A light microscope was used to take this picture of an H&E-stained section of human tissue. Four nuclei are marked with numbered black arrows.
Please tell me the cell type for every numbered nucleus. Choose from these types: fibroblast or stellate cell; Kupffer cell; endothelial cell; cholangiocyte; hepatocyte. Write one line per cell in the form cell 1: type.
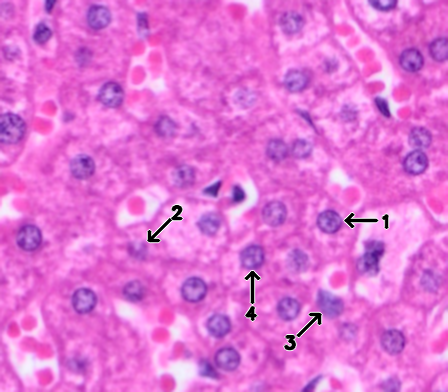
cell 1: hepatocyte
cell 2: hepatocyte
cell 3: endothelial cell
cell 4: hepatocyte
